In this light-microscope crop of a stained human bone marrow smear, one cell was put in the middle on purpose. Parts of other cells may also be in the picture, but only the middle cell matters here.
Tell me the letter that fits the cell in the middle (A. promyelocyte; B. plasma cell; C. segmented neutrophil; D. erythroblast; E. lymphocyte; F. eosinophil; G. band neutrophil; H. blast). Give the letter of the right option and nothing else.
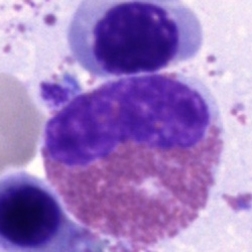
F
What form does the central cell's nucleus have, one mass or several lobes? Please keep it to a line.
The cell carries one compact nucleus shaped round, oval or like a kidney.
